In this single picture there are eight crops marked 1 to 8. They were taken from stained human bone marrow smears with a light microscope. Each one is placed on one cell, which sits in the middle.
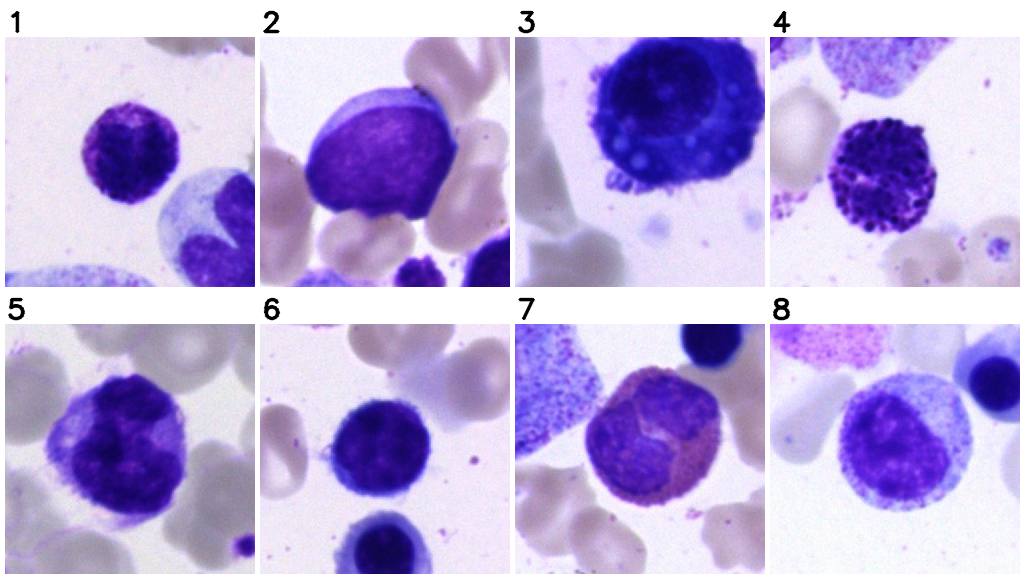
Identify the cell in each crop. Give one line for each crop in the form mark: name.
1: basophil
2: blast
3: plasma cell
4: basophil
5: monocyte
6: lymphocyte
7: eosinophil
8: myelocyte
